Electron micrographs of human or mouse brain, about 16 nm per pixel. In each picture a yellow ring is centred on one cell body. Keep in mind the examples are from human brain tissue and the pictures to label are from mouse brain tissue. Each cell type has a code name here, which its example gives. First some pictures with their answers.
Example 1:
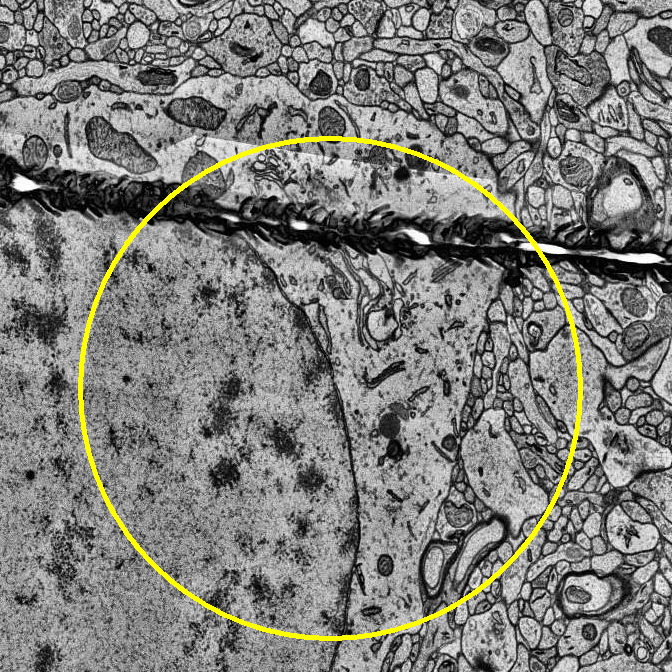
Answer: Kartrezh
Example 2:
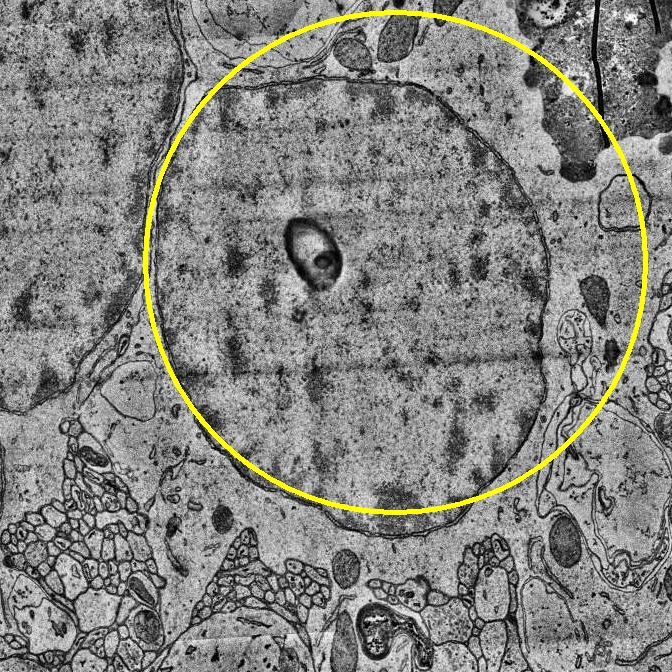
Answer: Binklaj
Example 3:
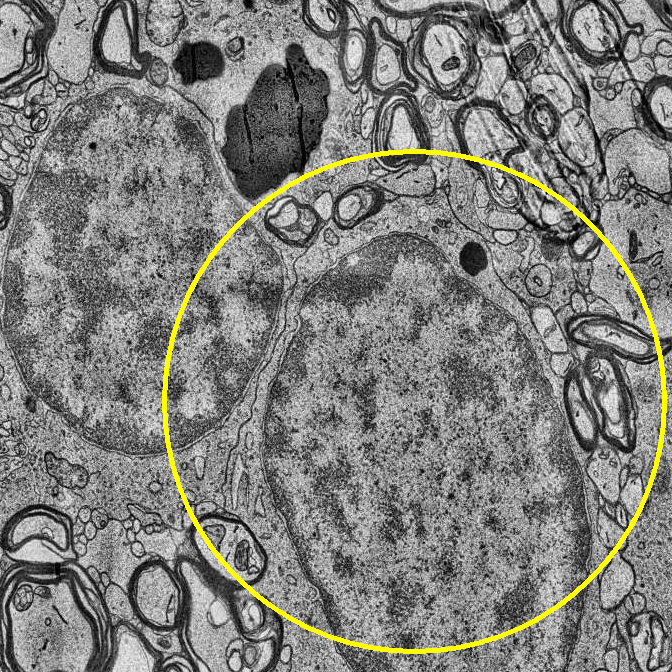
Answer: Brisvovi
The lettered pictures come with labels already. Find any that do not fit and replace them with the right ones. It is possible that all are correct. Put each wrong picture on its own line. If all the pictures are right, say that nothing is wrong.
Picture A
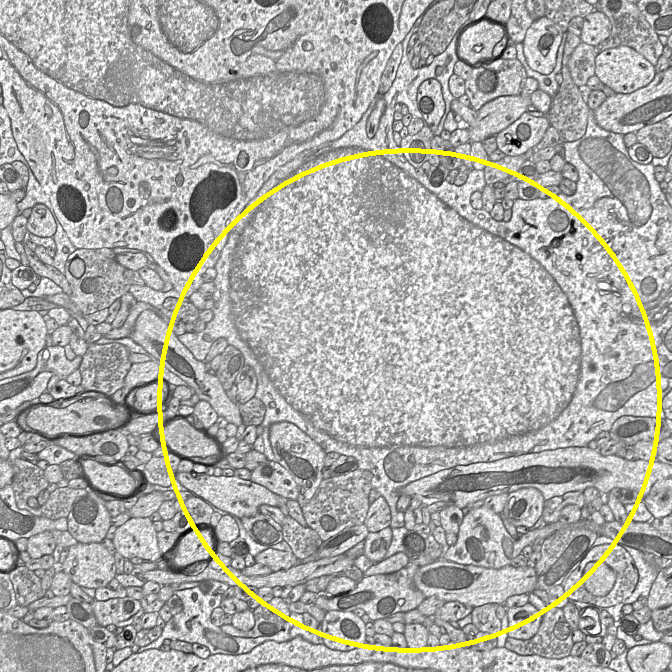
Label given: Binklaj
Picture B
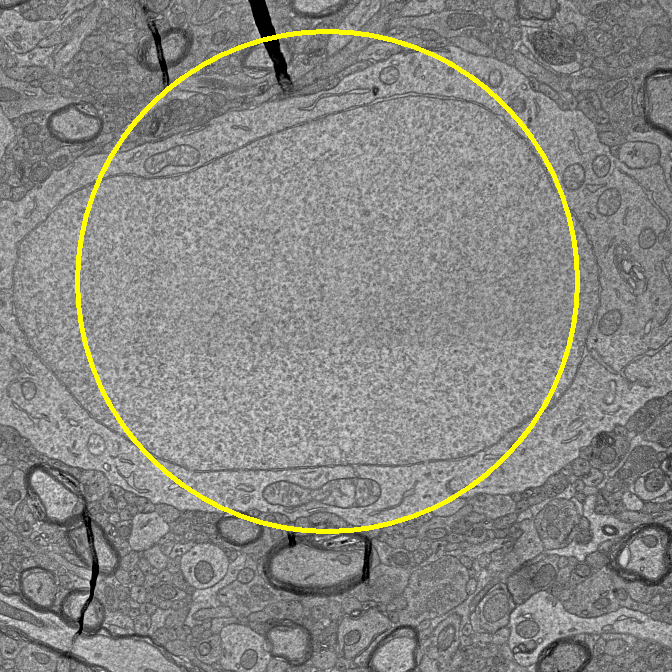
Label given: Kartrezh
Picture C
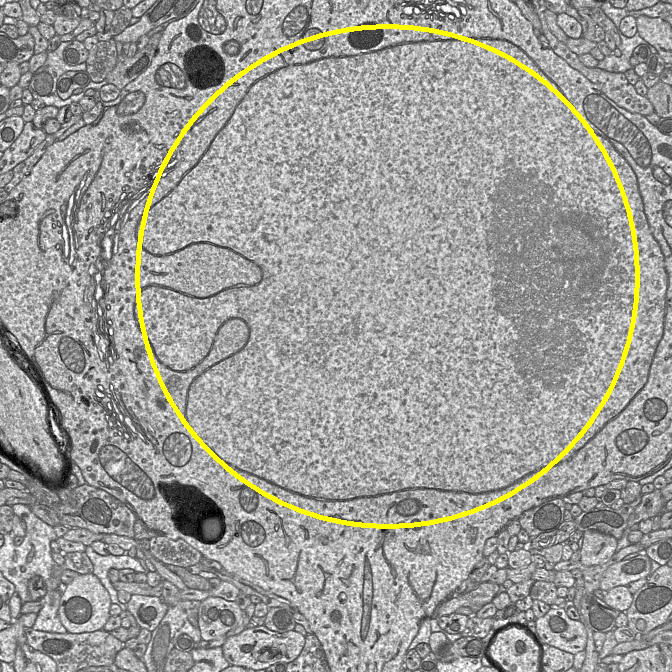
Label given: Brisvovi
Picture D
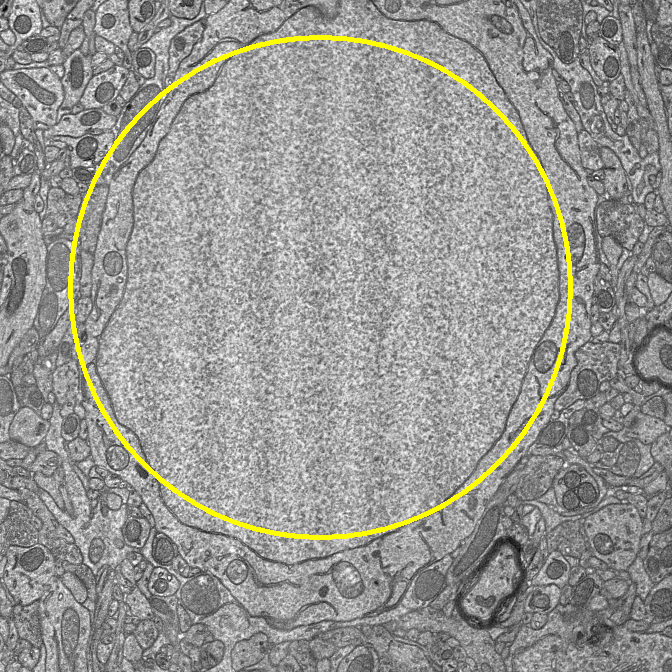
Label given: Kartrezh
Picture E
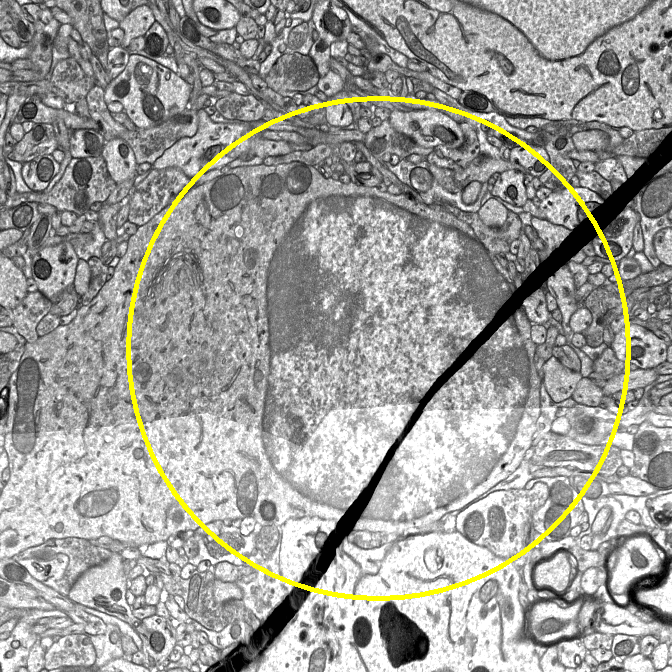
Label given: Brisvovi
C: not Brisvovi but Kartrezh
